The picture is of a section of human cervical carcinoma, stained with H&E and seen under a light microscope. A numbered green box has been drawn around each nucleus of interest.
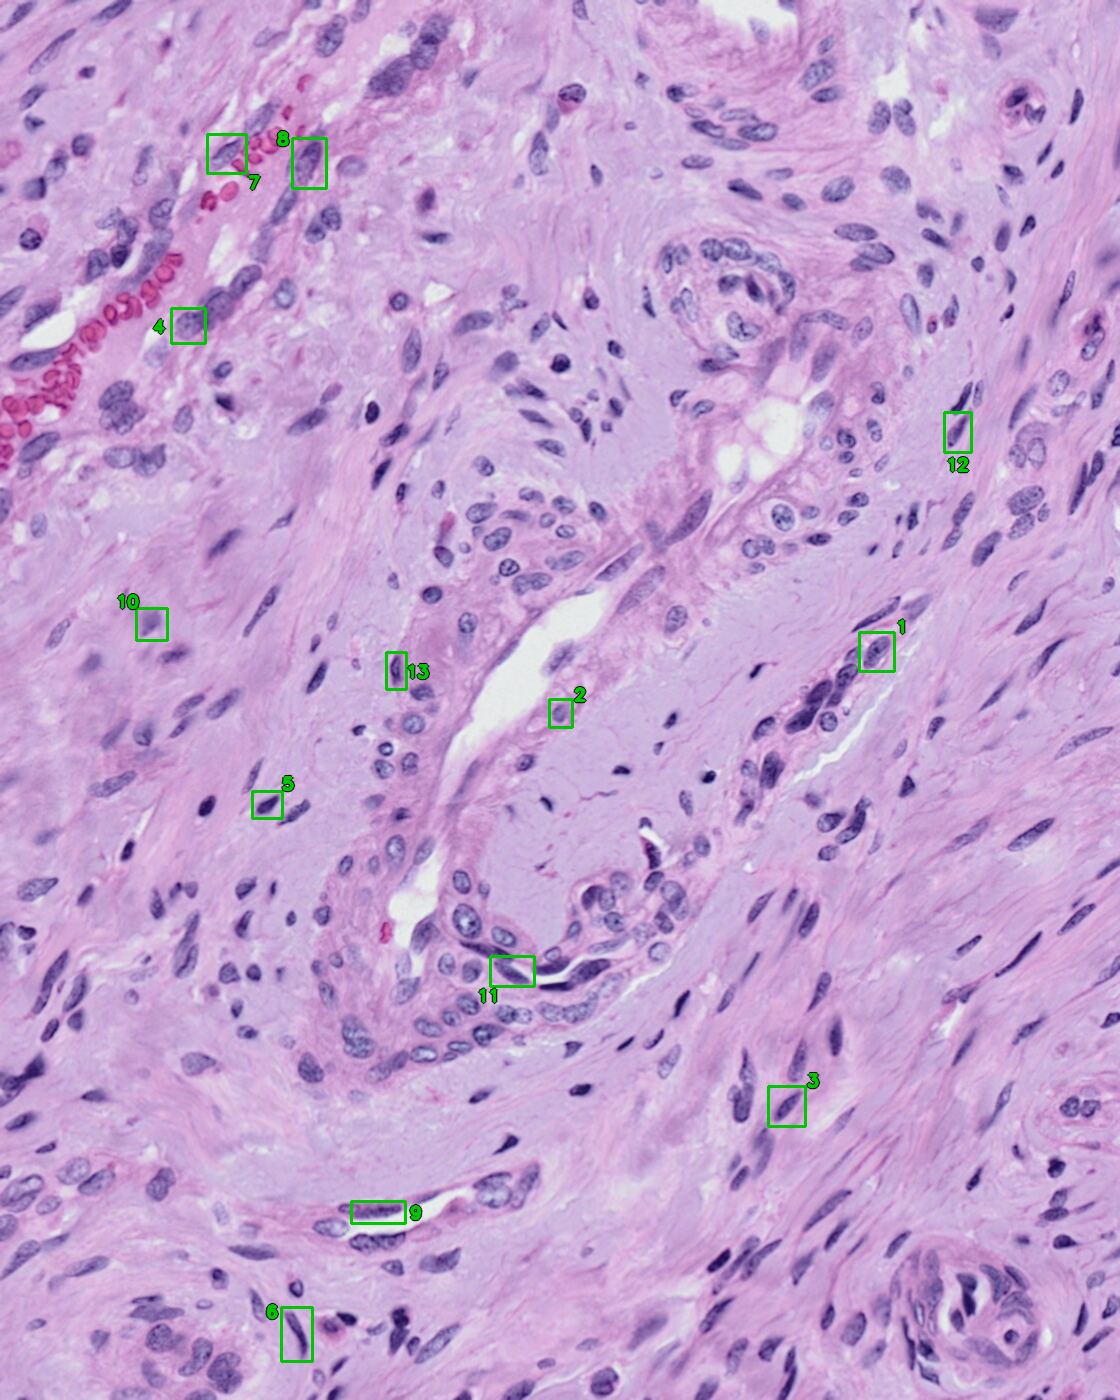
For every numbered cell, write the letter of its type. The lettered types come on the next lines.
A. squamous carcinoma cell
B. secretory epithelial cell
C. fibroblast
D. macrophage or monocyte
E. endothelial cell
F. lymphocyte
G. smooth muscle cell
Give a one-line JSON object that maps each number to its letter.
{"1": "E", "2": "G", "3": "C", "4": "E", "5": "C", "6": "C", "7": "E", "8": "E", "9": "E", "10": "C", "11": "E", "12": "C", "13": "G"}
